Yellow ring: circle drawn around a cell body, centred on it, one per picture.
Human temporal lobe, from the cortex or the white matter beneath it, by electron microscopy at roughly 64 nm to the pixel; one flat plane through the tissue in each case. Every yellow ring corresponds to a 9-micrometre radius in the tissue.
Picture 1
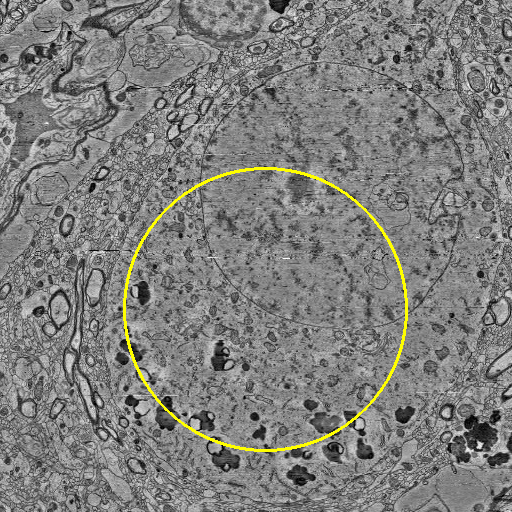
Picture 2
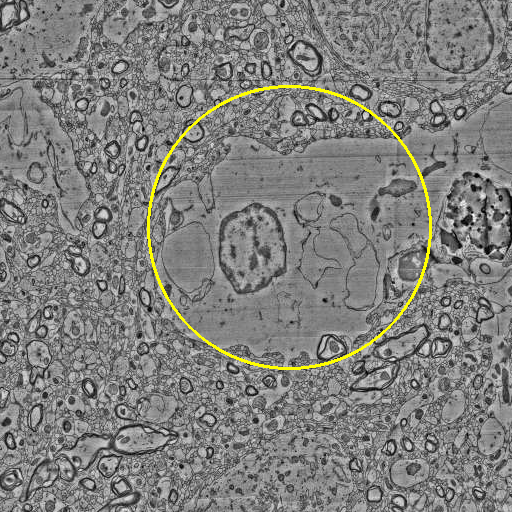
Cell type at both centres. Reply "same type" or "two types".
two types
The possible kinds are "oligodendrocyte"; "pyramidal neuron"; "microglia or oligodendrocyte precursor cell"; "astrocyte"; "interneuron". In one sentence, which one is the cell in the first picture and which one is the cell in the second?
The cell ringed in the second picture is an astrocyte, whereas the one ringed in the first is a pyramidal neuron.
